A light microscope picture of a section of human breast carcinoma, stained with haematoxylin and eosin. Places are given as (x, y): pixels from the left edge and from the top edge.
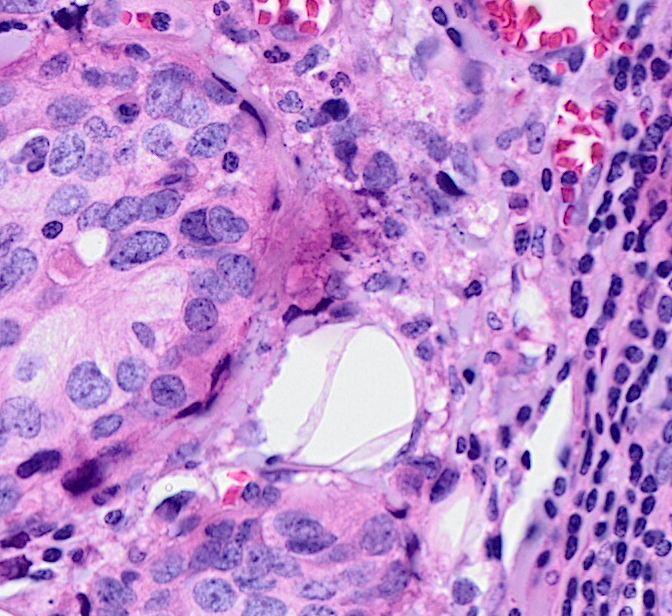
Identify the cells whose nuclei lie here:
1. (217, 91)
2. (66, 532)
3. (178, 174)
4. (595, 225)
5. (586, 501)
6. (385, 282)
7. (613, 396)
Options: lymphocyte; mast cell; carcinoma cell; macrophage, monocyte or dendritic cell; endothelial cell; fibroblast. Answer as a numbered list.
1. carcinoma cell
2. lymphocyte
3. carcinoma cell
4. lymphocyte
5. lymphocyte
6. macrophage, monocyte or dendritic cell
7. lymphocyte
